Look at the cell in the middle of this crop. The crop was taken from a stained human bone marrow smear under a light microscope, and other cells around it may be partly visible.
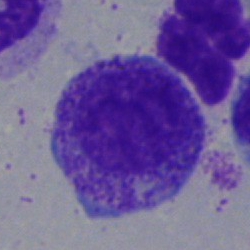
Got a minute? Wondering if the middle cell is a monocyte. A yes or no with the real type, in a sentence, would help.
No, the middle cell is not a monocyte, it being a myelocyte.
